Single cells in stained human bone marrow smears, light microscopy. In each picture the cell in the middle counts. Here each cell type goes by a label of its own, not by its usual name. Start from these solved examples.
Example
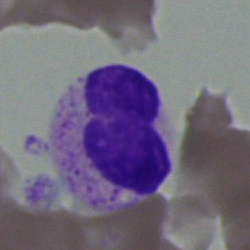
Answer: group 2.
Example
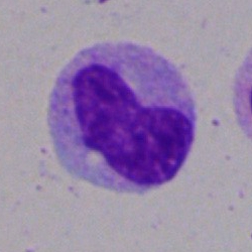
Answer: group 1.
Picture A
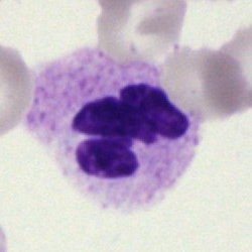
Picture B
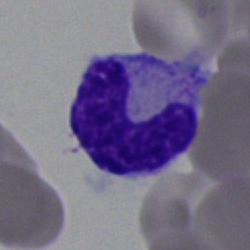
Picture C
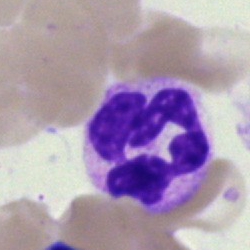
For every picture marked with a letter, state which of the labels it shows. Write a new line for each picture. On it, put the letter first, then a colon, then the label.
A: group 2.
B: group 1.
C: group 2.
